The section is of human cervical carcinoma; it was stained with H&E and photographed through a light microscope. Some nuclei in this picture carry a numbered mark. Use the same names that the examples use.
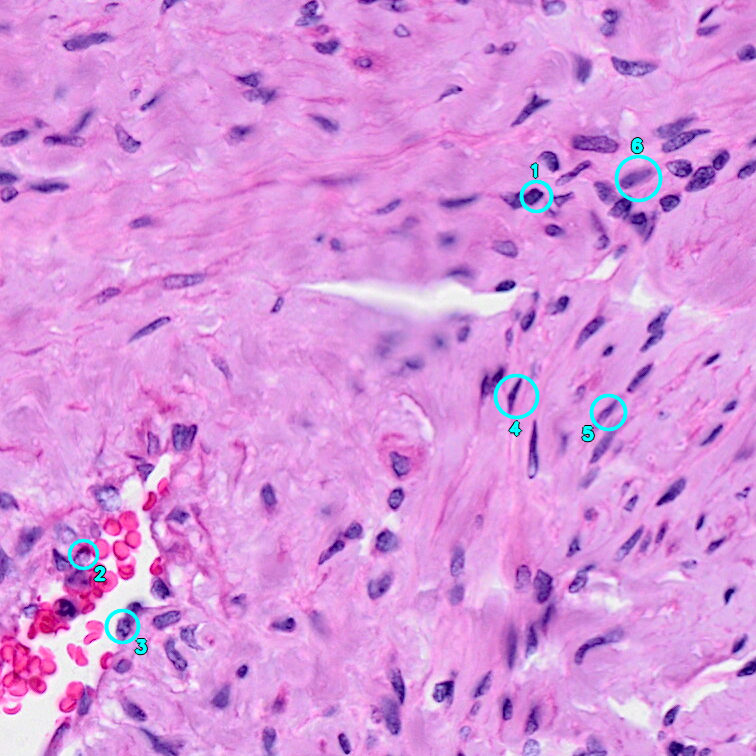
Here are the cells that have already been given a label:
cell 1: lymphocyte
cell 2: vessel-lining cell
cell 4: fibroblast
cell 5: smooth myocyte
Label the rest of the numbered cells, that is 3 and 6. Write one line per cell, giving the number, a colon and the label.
3: vessel-lining cell
6: fibroblast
